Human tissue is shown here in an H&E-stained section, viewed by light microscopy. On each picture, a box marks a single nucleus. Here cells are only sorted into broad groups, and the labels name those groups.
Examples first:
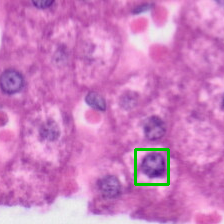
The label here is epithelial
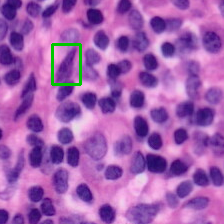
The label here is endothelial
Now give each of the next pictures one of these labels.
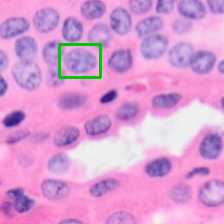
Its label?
epithelial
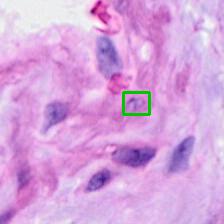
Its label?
endothelial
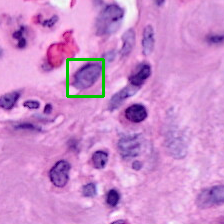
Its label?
endothelial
